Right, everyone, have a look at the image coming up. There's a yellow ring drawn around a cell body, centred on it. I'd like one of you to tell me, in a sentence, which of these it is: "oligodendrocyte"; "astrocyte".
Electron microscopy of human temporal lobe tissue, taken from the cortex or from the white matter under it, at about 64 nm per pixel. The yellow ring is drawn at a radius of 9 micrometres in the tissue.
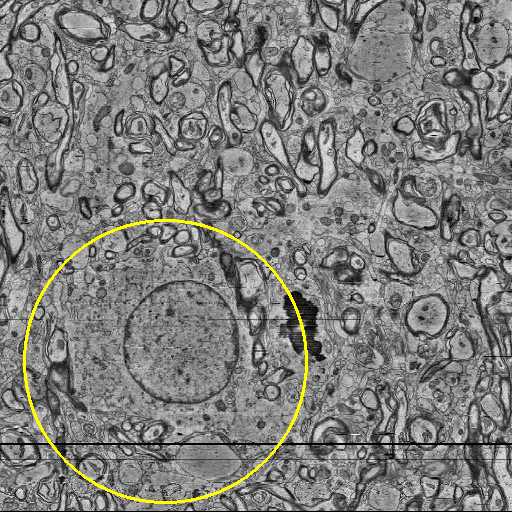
The yellow ring sits on an astrocyte.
